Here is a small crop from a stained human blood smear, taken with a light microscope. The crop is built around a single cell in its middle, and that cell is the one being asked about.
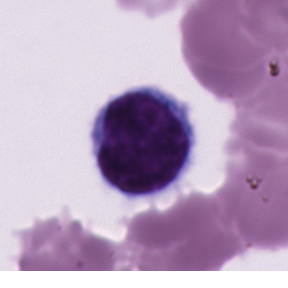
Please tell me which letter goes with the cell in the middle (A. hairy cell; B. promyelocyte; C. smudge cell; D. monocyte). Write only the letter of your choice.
A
